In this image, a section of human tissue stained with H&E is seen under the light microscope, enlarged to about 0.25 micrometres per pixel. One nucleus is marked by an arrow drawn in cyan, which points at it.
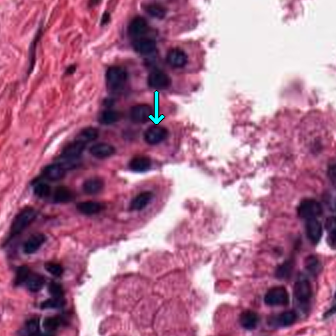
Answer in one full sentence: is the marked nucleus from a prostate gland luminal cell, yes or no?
Yes, in this image it is a prostate gland luminal cell that contains the marked nucleus.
